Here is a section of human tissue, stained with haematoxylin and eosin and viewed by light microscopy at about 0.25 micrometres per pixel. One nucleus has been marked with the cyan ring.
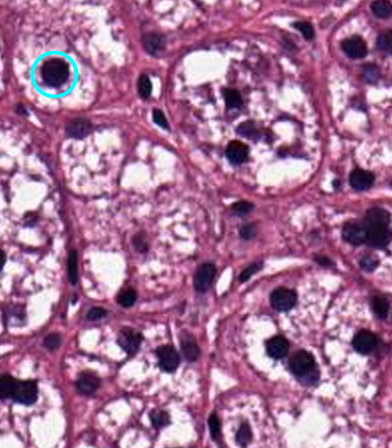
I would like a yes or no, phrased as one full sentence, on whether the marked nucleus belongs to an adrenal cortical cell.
Yes, the cell to which the marked nucleus belongs is an adrenal cortical cell.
